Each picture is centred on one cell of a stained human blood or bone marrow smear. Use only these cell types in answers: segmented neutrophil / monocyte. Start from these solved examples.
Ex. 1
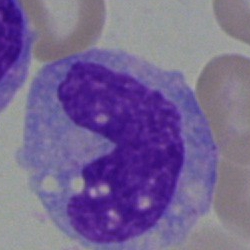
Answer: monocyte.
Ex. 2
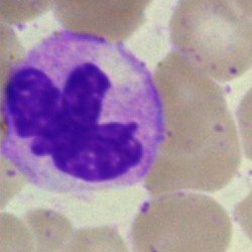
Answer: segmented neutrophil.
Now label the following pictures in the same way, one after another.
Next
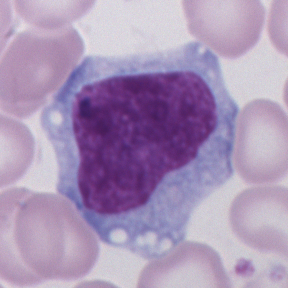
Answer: monocyte.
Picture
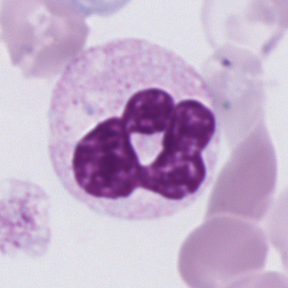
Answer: segmented neutrophil.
